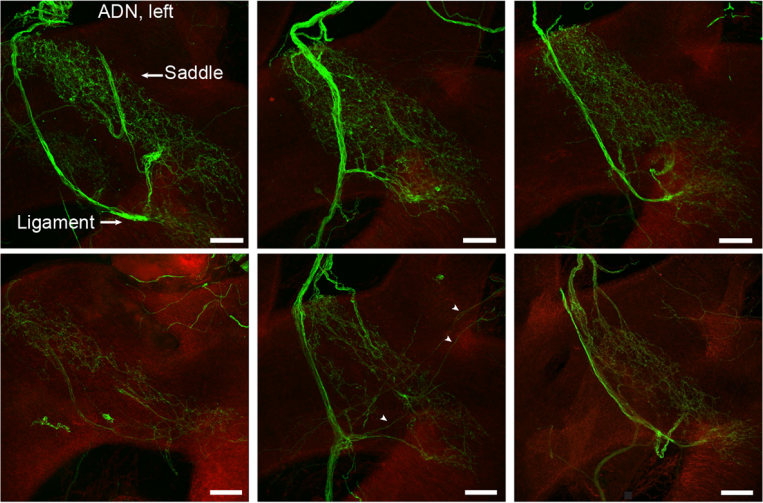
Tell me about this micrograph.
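Here a green nerve enters the aortic arch and spreads into a field of fine, branching nerve endings over the red vessel wall. The upper row shows dense meshworks, while the lower row has thinner, sparser endings with a few lone fibers running off in other directions.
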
